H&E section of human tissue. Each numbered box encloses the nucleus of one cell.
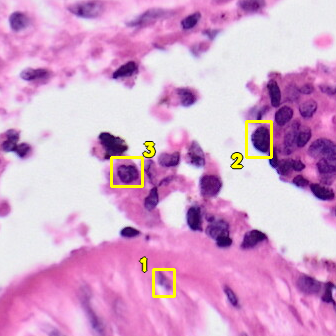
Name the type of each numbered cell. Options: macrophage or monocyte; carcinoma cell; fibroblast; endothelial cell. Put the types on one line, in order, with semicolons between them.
fibroblast; carcinoma cell; macrophage or monocyte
